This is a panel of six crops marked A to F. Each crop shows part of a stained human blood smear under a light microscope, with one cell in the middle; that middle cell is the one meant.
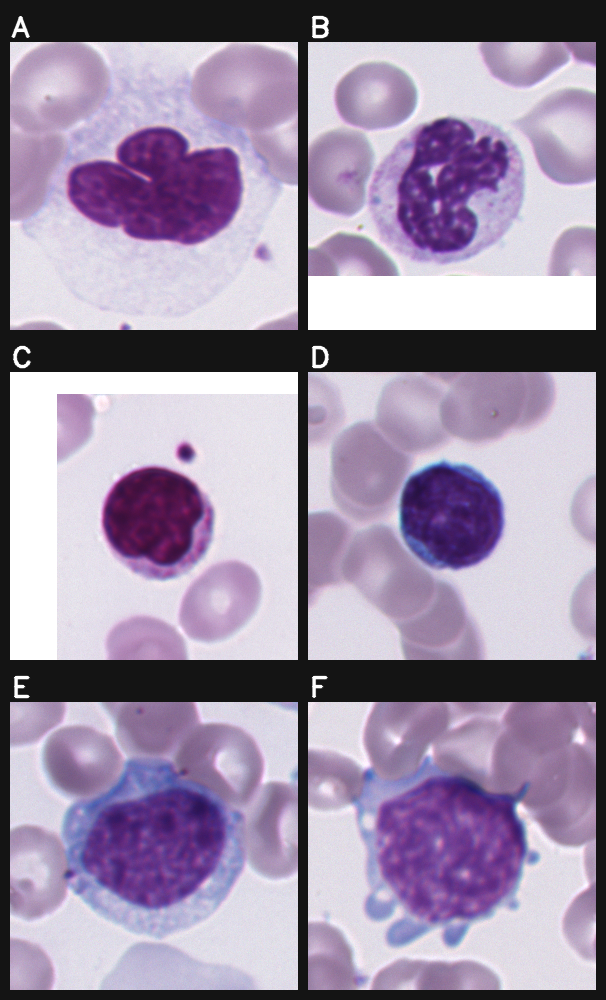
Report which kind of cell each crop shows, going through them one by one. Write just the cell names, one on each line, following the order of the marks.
monocyte
neutrophil
large granular lymphocyte
typical lymphocyte
promyelocyte
blast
